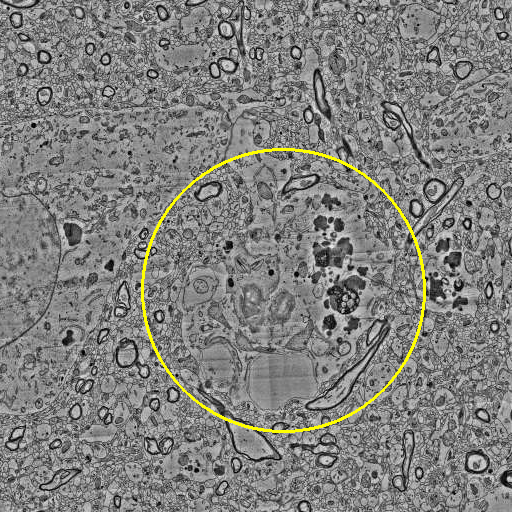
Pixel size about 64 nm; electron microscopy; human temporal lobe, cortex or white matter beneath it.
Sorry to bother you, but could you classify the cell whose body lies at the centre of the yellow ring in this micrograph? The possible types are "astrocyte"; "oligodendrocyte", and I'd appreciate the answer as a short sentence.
The ringed cell body is that of an astrocyte.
